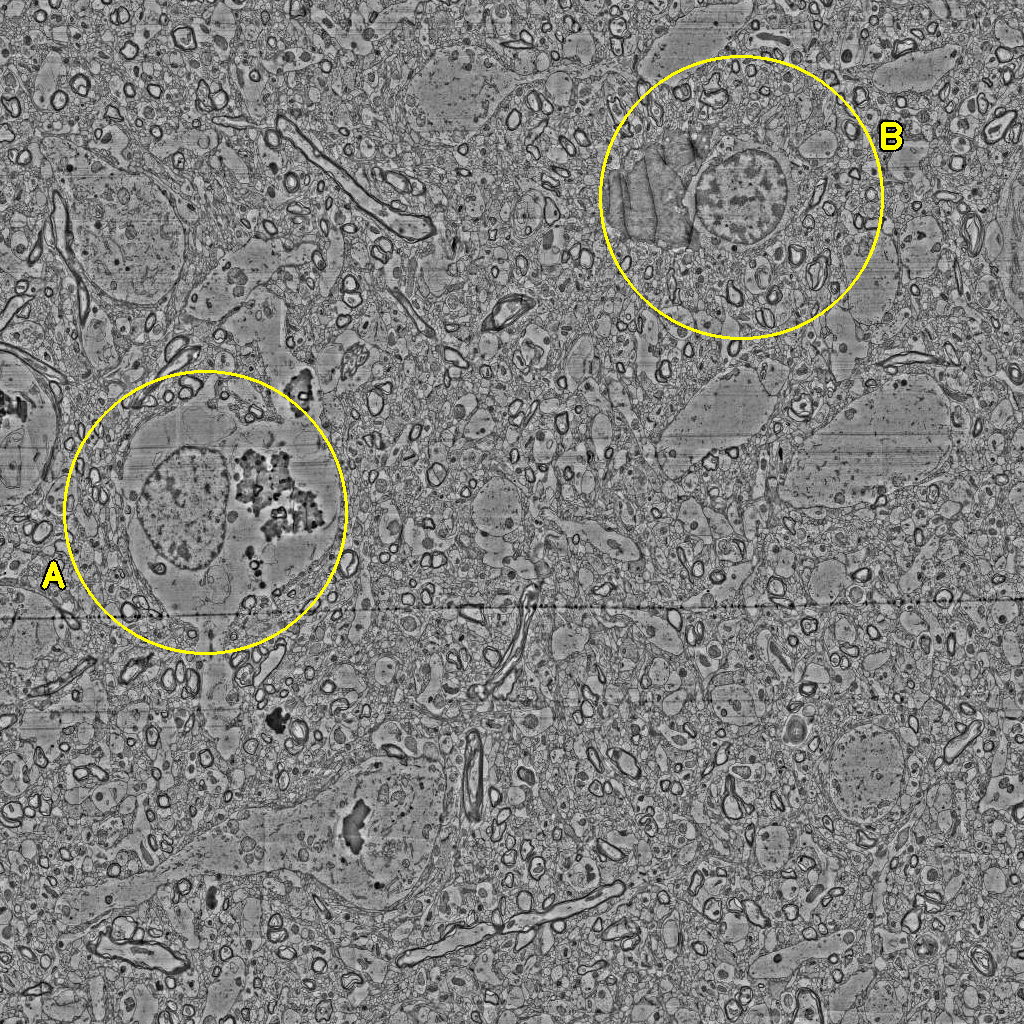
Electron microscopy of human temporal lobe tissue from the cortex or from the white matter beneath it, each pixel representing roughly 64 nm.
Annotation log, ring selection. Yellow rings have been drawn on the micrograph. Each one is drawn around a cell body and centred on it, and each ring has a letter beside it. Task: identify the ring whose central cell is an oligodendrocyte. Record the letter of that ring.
B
